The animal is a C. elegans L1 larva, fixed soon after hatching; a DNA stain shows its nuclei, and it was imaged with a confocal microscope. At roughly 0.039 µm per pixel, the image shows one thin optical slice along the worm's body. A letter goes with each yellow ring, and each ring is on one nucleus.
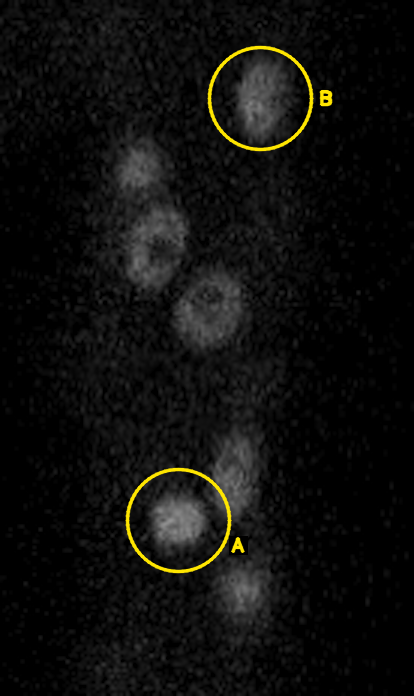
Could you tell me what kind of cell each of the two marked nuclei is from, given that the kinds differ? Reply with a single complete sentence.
A is from a neuron, and B is from a P cell (ventral epidermal blast cell).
